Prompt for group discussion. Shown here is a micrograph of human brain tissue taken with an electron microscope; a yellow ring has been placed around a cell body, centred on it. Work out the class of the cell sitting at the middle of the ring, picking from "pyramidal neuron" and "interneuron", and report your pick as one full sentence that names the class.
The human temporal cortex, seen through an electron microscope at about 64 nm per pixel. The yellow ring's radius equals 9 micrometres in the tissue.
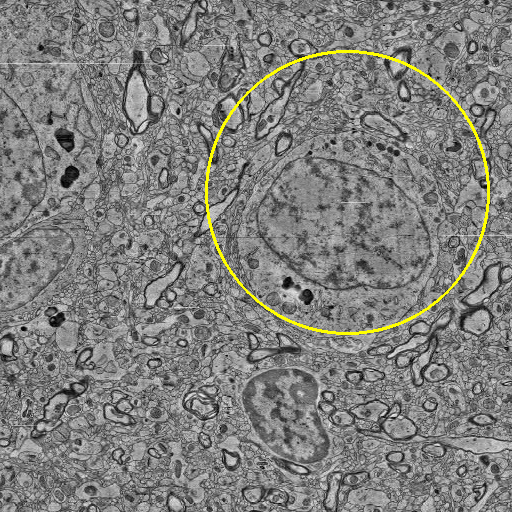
The cell sitting at the middle of the yellow ring is a pyramidal neuron.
